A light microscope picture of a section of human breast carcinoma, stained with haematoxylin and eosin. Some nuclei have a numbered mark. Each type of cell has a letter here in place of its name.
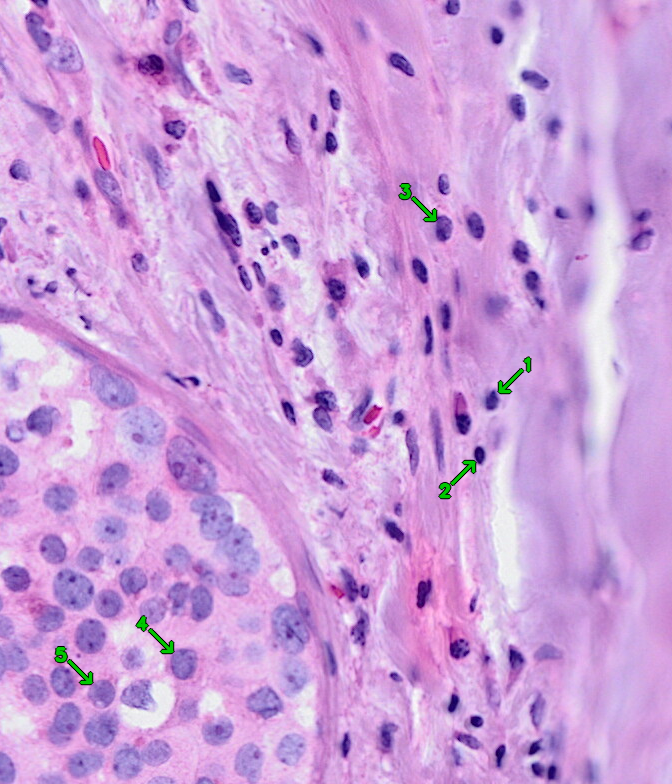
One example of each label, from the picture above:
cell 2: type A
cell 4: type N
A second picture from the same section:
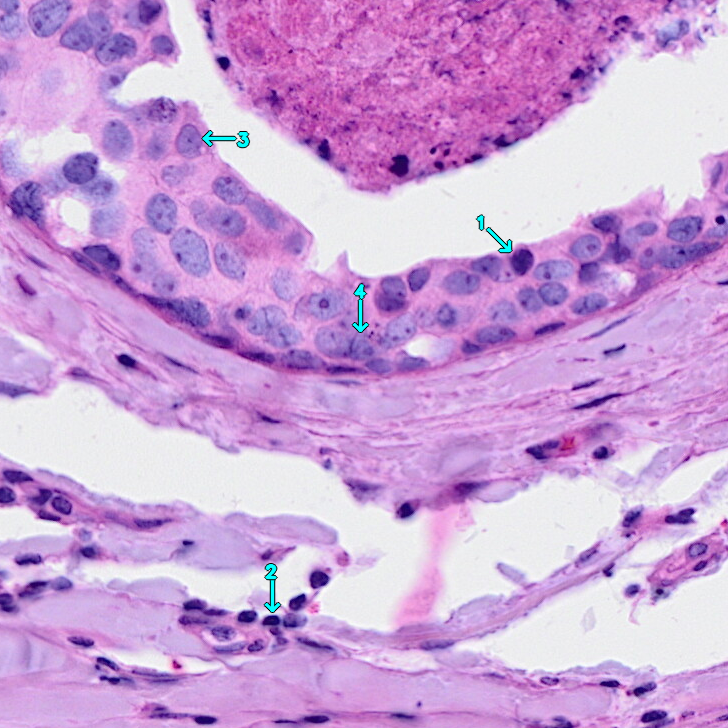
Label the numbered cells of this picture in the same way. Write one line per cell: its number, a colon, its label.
1: type N
2: type A
3: type N
4: type N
